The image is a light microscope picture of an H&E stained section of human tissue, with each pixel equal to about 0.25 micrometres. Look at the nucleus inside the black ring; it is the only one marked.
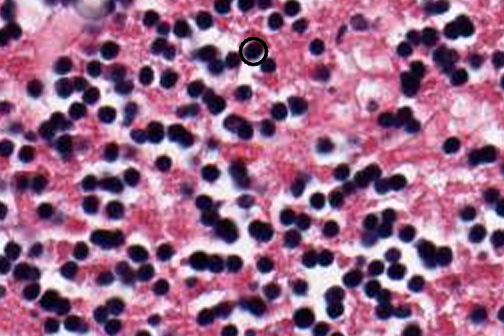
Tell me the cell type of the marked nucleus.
cerebellar granule cell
